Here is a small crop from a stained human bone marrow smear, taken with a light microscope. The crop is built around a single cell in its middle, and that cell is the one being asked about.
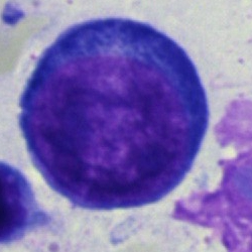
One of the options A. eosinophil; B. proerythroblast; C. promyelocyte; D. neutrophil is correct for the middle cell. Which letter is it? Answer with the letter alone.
B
